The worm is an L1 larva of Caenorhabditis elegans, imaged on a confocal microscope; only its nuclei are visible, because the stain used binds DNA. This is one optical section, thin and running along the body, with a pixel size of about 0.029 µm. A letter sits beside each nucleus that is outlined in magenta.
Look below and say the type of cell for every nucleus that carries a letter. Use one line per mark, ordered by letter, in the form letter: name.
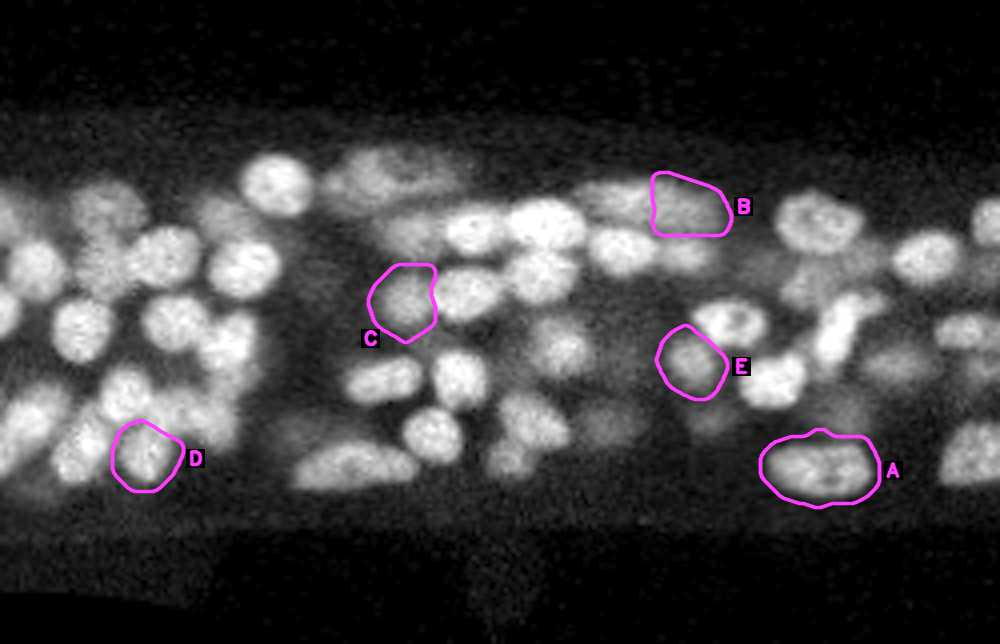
A: body wall muscle cell
B: body wall muscle cell
C: neuron
D: neuron
E: neuron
